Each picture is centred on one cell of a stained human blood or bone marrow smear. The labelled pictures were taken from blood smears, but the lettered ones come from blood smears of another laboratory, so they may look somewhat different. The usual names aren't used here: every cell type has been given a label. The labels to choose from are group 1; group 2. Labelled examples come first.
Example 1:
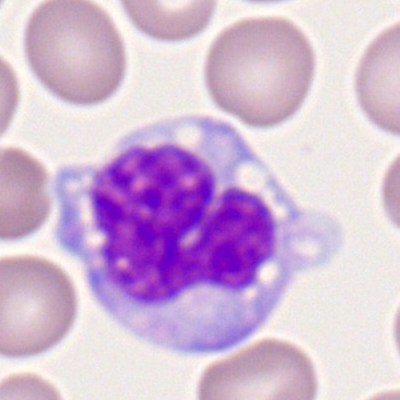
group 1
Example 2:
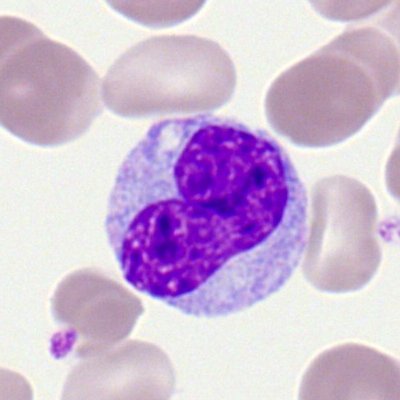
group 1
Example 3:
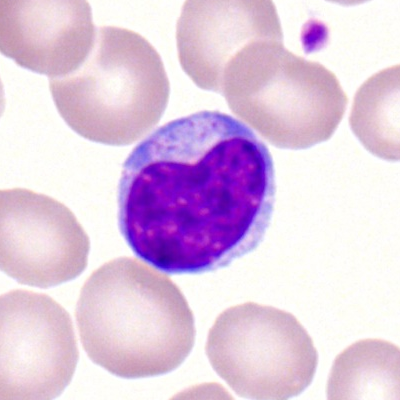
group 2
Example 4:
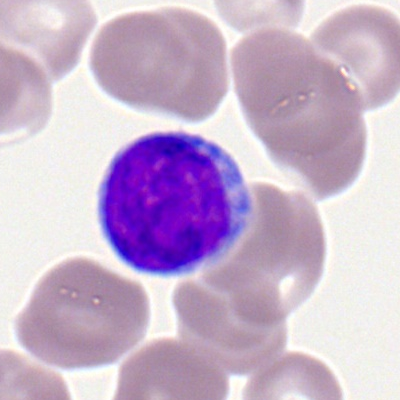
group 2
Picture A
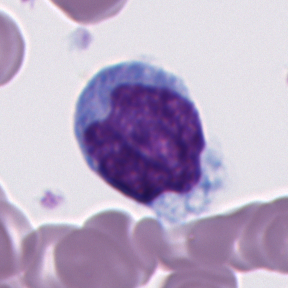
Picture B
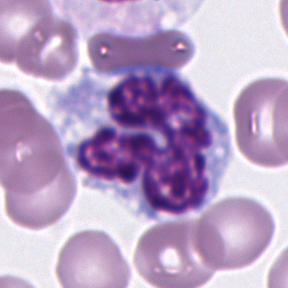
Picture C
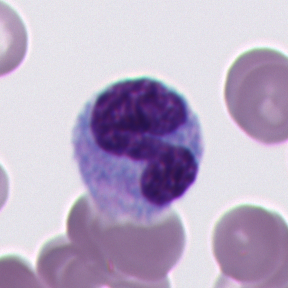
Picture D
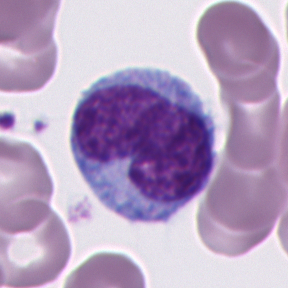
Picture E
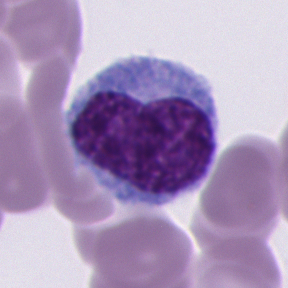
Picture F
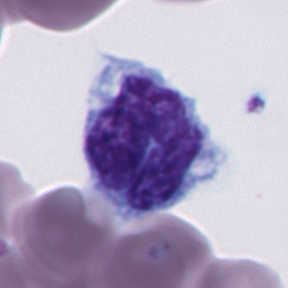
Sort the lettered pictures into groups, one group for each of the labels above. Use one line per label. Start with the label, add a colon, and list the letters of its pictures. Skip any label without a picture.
group 1: A, B, C, D, E, F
